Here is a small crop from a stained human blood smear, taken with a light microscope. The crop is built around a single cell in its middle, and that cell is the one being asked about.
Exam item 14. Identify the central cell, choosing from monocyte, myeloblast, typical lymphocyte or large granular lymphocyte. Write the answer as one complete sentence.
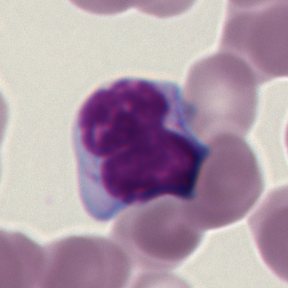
Regarding the central cell, it is a large granular lymphocyte.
